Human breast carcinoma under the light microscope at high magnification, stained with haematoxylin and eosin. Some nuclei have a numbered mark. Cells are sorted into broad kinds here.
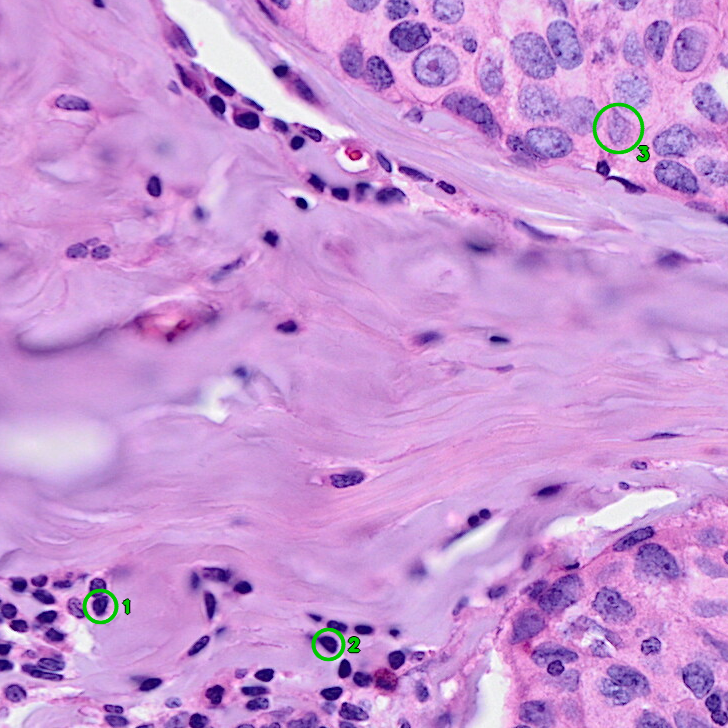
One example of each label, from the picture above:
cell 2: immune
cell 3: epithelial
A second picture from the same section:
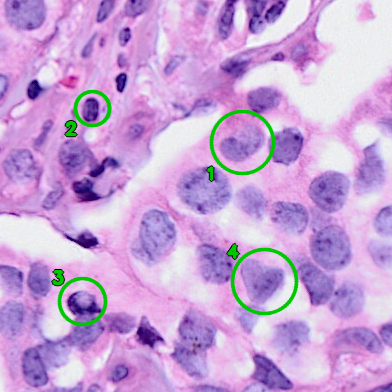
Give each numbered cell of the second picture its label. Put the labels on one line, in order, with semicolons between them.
epithelial; immune; epithelial; epithelial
